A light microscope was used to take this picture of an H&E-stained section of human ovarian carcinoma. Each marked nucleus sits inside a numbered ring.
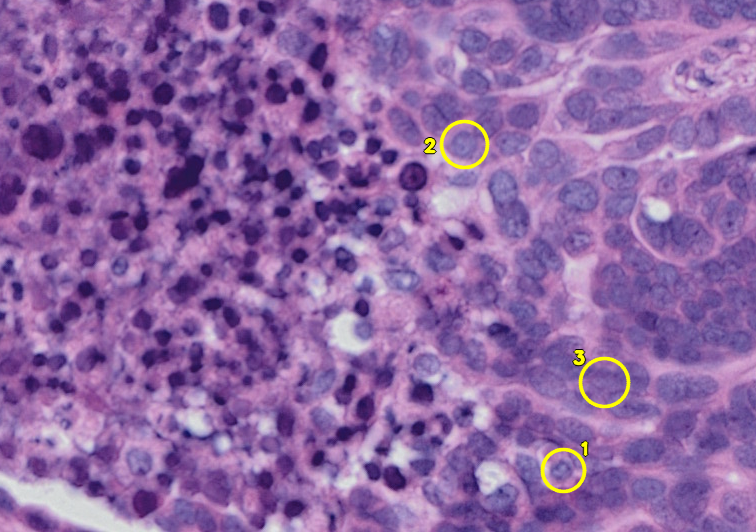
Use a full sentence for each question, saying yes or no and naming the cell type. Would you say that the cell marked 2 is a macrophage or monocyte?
No, number 2 is assigned to a carcinoma cell, not to a macrophage or monocyte.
